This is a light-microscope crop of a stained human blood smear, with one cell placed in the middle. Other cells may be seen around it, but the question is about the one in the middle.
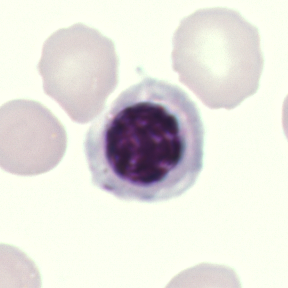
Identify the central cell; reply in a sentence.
This particular crop is centered on a normoblast.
